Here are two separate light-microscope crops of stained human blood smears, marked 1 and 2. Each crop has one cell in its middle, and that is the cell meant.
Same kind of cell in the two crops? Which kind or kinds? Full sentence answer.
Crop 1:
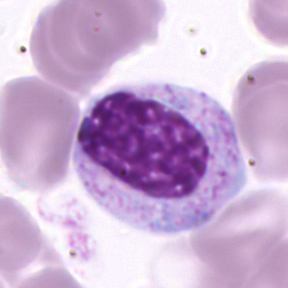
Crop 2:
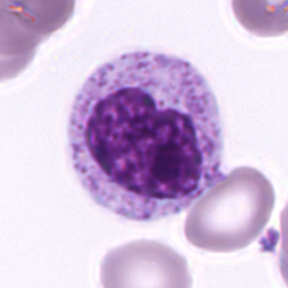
Yes, metamyelocytes are the cells shown in both crops.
